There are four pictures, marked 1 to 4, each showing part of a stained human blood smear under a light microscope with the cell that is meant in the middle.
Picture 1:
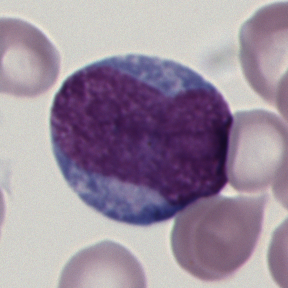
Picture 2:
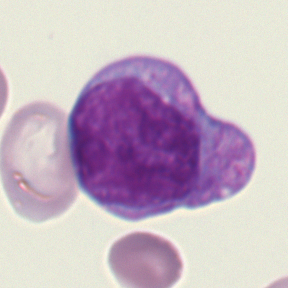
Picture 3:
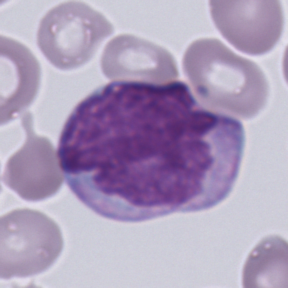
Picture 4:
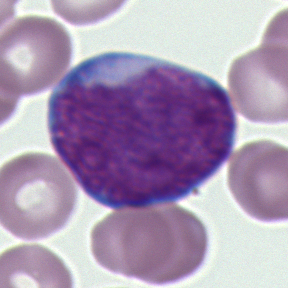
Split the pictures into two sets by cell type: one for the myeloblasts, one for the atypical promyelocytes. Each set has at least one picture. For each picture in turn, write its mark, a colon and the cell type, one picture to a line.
1: myeloblast
2: atypical promyelocyte
3: atypical promyelocyte
4: myeloblast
